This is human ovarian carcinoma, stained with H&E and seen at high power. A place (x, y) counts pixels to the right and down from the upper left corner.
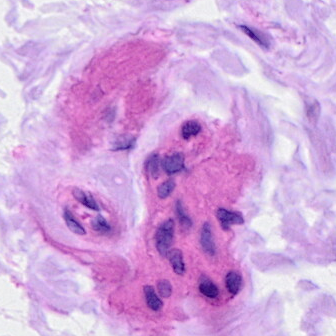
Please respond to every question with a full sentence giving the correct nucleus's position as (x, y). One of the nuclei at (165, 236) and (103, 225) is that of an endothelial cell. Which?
The nucleus of an endothelial cell is the one at (103, 225).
